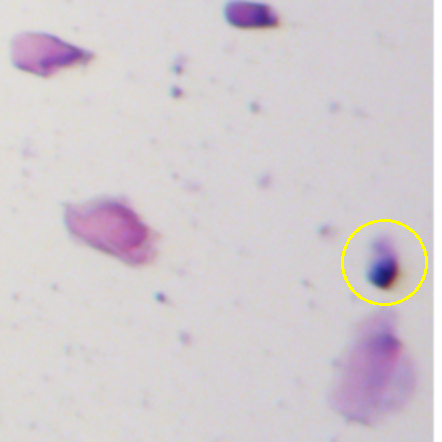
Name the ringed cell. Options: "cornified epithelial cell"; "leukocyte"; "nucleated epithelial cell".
nucleated epithelial cell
